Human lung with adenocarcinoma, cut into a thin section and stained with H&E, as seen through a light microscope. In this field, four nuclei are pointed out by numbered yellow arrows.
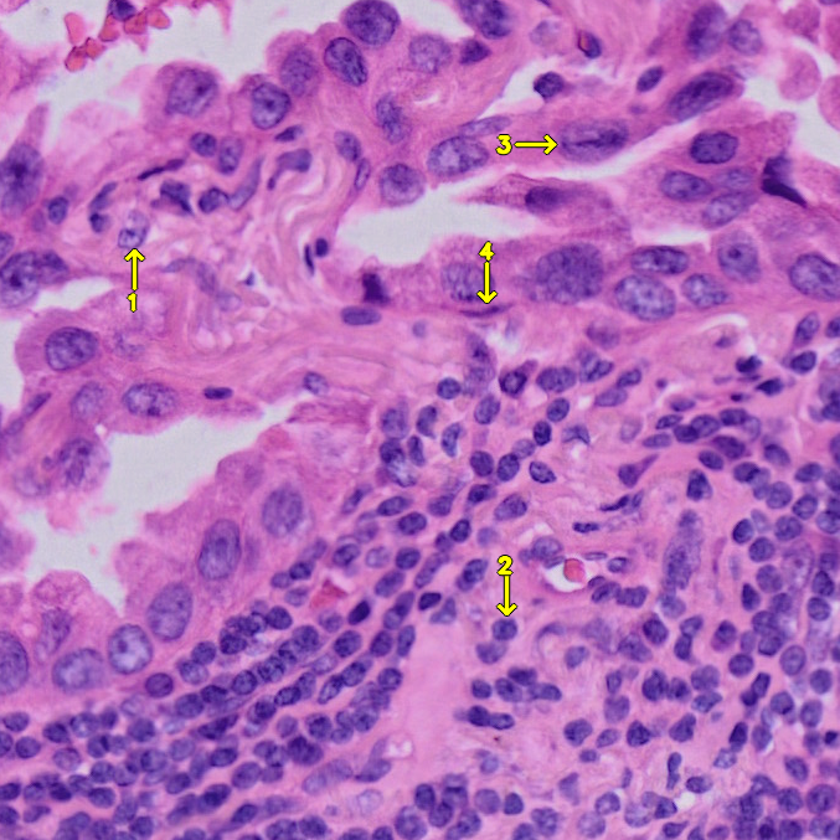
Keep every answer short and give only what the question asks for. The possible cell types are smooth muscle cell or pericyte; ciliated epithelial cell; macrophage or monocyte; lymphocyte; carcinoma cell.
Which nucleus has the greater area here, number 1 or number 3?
3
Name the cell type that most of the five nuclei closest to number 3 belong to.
carcinoma cell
